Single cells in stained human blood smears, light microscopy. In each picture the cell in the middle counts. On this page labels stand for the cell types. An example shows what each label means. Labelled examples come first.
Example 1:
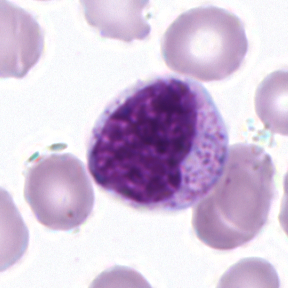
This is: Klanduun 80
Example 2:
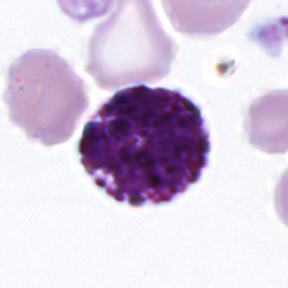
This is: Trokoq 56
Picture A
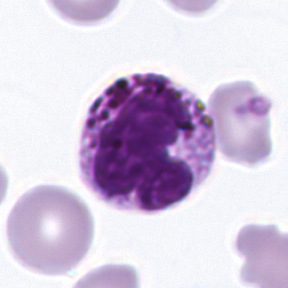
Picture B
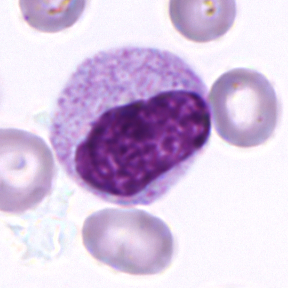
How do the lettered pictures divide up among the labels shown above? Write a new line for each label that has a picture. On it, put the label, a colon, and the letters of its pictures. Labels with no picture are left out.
Klanduun 80: B
Trokoq 56: A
